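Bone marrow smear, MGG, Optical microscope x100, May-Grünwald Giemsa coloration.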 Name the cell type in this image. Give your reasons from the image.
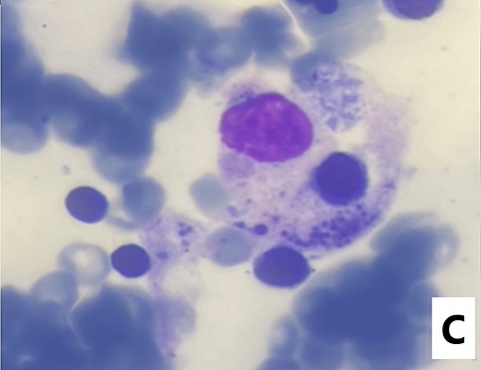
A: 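A single large cell with abundant pale, vacuolated cytoplasm. One oval purple nucleus off-centre. Smaller round dark bodies and fine granular material lie inside the cytoplasm. So: Macrophage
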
